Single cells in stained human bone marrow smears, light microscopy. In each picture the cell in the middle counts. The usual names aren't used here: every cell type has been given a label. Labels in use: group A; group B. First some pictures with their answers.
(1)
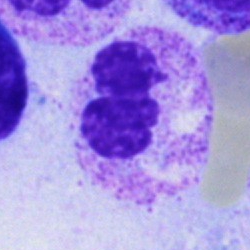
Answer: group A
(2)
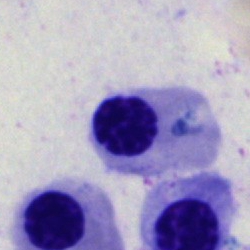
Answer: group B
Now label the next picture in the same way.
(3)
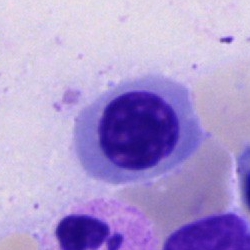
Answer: group B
